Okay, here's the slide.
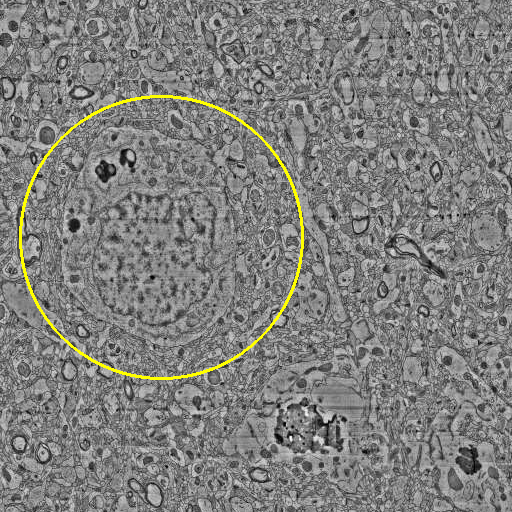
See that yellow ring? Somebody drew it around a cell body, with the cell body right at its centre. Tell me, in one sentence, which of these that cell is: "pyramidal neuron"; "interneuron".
The cell in the middle of the ring is an interneuron.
